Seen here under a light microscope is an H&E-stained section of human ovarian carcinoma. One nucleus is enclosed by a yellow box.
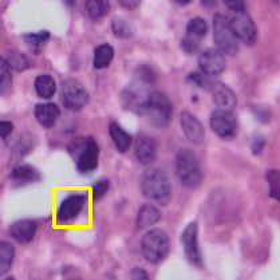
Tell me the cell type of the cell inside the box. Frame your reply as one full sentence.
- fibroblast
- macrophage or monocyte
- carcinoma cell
Cytologically, the cell inside the box is to be regarded as a carcinoma cell.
